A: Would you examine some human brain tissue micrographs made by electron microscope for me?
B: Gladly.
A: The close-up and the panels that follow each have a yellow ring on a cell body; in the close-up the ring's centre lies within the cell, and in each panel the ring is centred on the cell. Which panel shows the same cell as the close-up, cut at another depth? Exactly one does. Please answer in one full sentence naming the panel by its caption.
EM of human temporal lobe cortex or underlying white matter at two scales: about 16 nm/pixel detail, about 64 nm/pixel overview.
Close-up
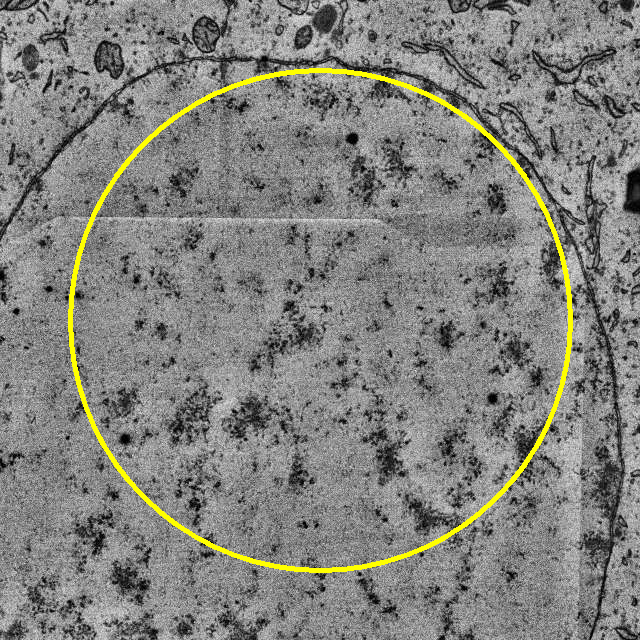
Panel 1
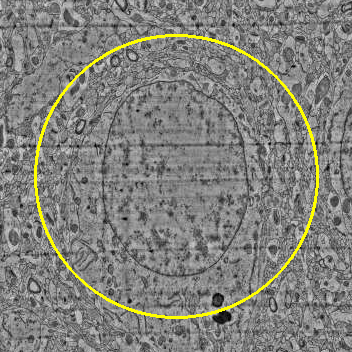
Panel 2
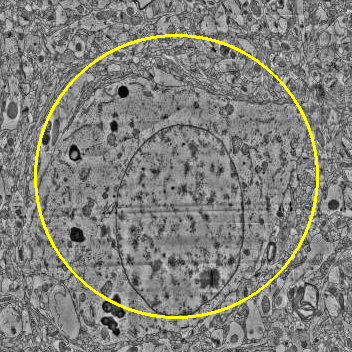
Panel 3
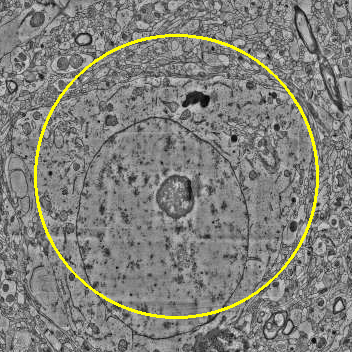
Shown in the close-up is the cell marked with a ring in Panel 3.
